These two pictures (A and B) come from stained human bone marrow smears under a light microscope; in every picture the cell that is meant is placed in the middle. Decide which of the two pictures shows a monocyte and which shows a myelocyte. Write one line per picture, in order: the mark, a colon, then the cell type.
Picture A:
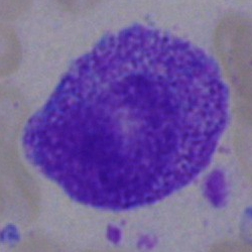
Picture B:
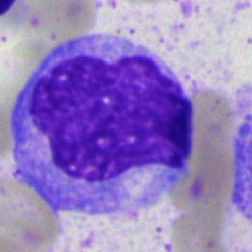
A: myelocyte
B: monocyte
